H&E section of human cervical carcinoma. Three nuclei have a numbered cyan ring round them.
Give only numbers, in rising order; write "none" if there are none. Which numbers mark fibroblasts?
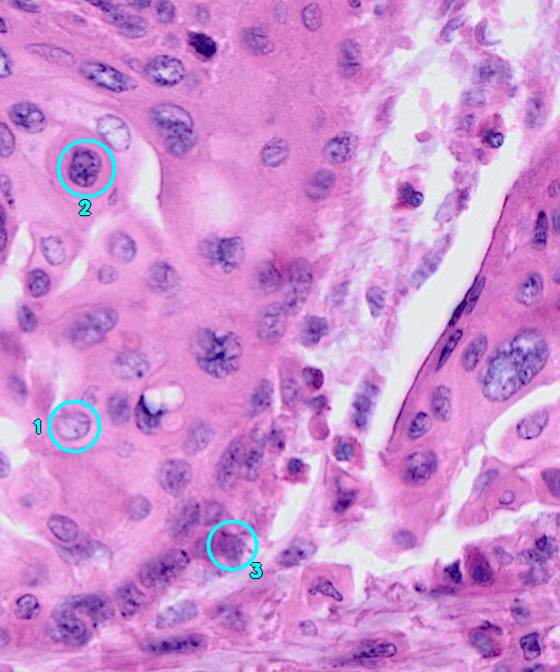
3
